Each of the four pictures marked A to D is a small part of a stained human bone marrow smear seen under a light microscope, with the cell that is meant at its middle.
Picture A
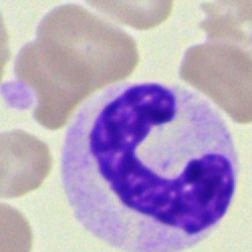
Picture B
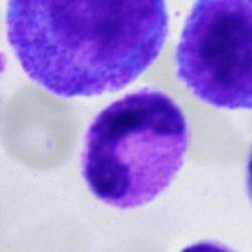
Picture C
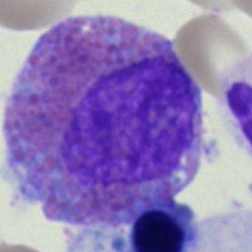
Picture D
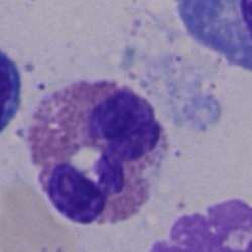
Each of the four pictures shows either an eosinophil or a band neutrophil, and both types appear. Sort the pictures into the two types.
A: band neutrophil
B: band neutrophil
C: eosinophil
D: eosinophil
